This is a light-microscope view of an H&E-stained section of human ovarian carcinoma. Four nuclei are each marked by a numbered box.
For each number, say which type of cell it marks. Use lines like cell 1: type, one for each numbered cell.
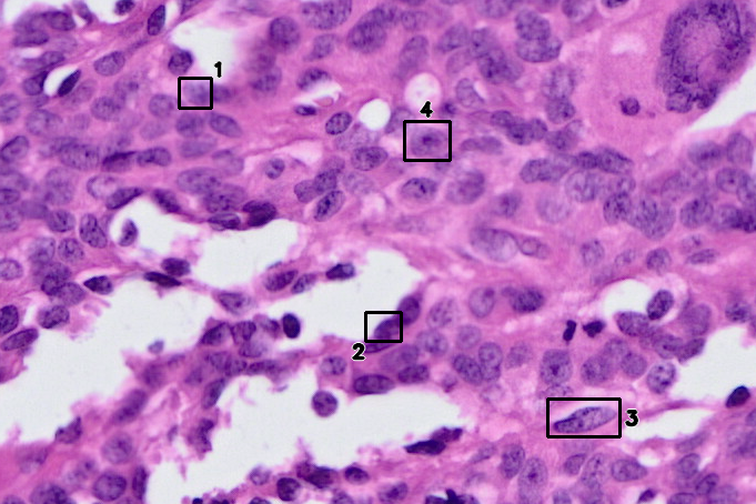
cell 1: carcinoma cell
cell 2: carcinoma cell
cell 3: endothelial cell
cell 4: carcinoma cell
